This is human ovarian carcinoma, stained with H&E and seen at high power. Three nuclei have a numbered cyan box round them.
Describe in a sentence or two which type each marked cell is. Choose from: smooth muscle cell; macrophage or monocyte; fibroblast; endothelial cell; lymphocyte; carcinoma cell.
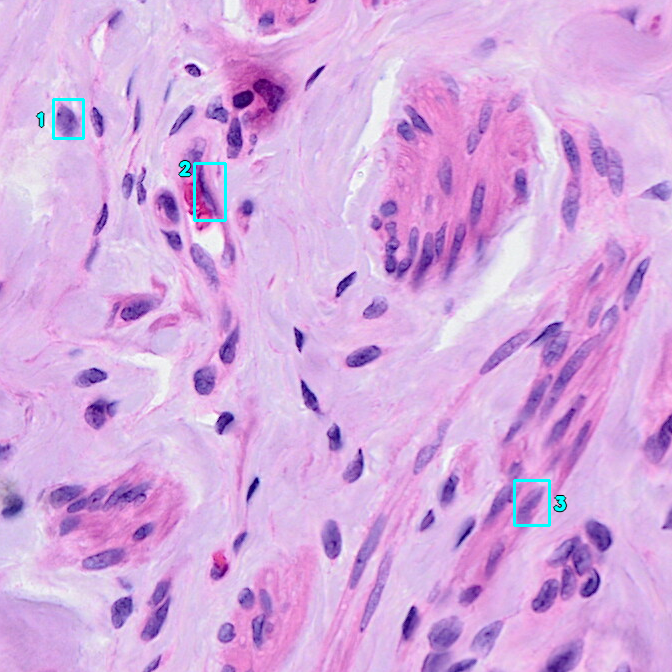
Cell 1 is a fibroblast, cell 2 is an endothelial cell and cell 3 is a smooth muscle cell.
